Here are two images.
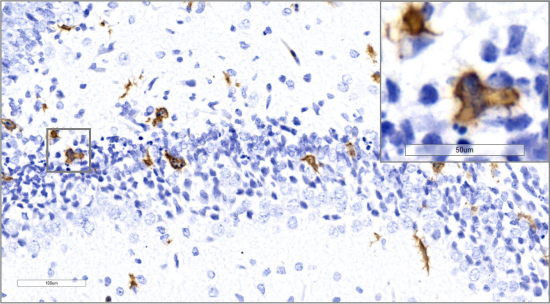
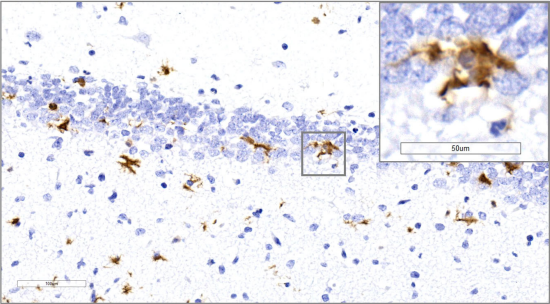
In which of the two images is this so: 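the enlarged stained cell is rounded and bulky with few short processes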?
The first image.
